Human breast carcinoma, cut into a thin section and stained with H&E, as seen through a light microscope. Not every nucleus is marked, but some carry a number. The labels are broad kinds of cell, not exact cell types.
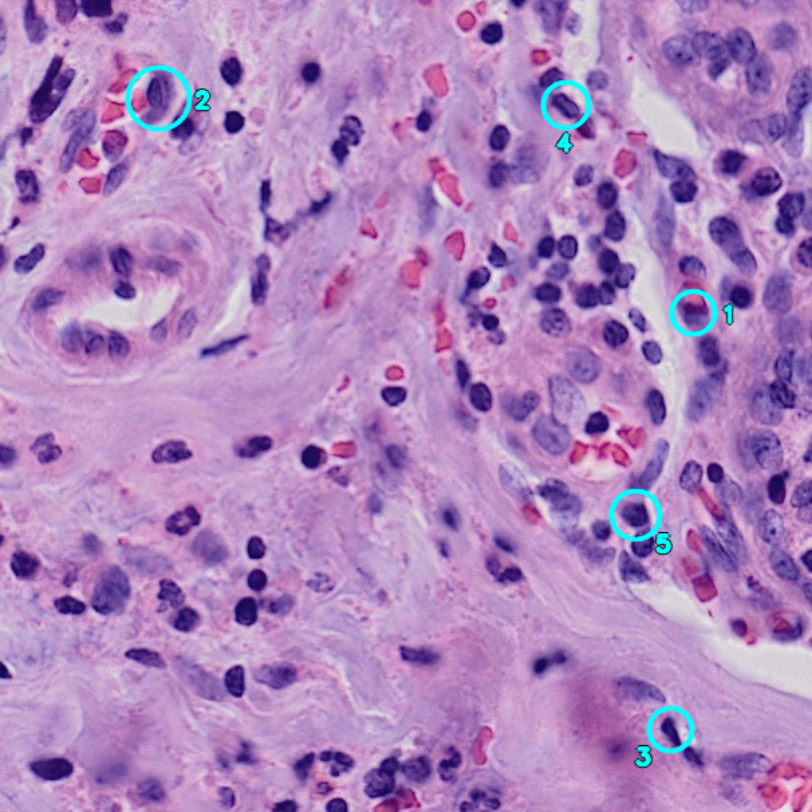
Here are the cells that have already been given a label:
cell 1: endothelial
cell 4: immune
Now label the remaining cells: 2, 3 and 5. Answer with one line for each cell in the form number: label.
2: endothelial
3: immune
5: immune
